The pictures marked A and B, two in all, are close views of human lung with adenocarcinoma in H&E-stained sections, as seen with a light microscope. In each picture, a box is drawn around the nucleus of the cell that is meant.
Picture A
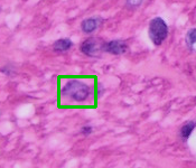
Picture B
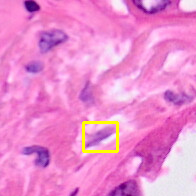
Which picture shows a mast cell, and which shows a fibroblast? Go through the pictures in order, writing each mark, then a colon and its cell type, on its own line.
A: mast cell
B: fibroblast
